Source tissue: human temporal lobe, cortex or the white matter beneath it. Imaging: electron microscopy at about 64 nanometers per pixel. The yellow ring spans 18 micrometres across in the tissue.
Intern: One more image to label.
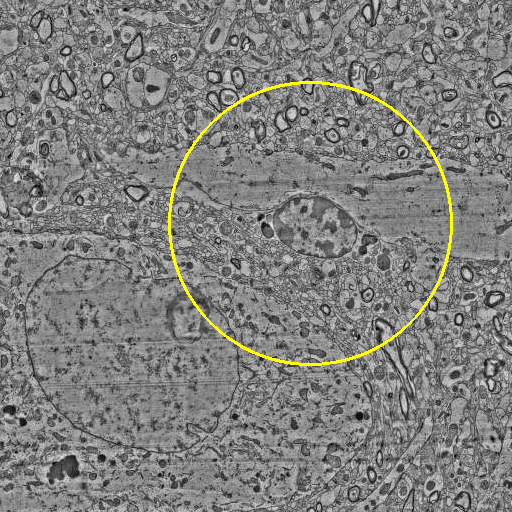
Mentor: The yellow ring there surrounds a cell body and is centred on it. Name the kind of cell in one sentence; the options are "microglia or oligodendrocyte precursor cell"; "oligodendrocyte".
The ring marks the cell body of a microglial cell or oligodendrocyte precursor cell.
